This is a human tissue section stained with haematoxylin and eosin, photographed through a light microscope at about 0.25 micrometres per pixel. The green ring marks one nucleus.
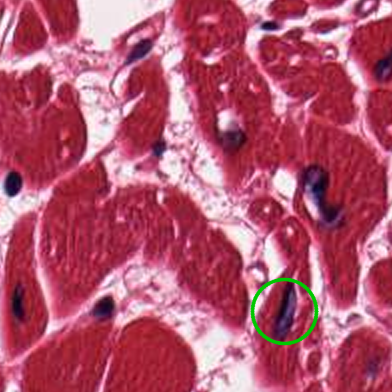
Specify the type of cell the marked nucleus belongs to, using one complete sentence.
The nucleus that has been marked belongs to a cardiomyocyte.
